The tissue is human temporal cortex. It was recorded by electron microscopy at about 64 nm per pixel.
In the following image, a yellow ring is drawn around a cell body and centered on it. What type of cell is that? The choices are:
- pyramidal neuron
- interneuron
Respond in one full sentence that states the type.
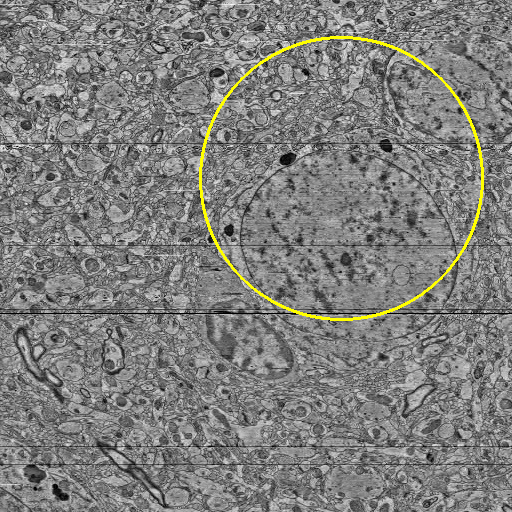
The cell at the center of the yellow ring in the image is a pyramidal neuron.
